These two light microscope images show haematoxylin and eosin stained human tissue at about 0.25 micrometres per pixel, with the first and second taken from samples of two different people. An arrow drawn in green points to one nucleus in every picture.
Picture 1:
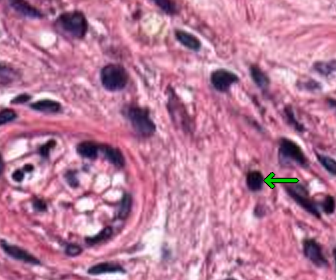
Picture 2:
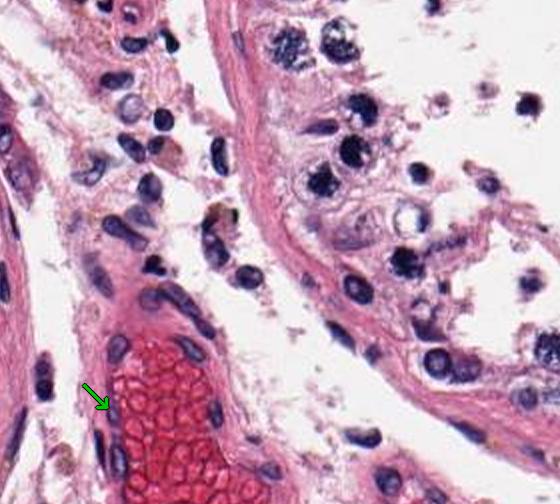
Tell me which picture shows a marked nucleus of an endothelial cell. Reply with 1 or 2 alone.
2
